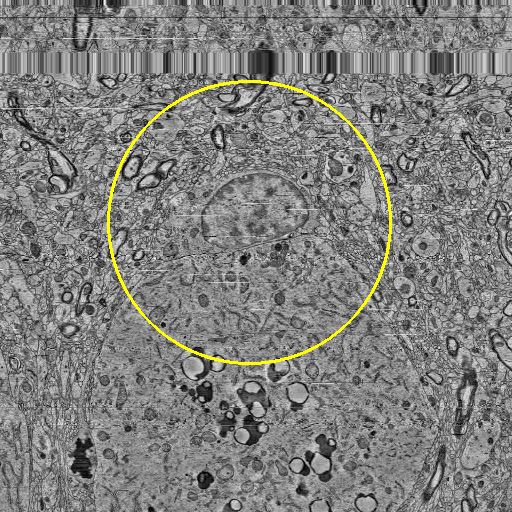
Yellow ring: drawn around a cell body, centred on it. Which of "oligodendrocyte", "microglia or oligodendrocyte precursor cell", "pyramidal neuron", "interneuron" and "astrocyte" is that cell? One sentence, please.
That cell body is from an oligodendrocyte.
